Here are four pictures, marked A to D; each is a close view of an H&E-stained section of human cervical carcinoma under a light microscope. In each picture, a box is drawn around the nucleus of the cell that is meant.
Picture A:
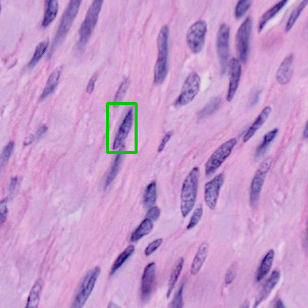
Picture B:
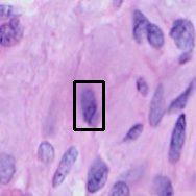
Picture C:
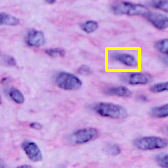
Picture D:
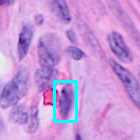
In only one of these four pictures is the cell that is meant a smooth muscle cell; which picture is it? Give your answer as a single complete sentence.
The picture with the smooth muscle cell is C.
